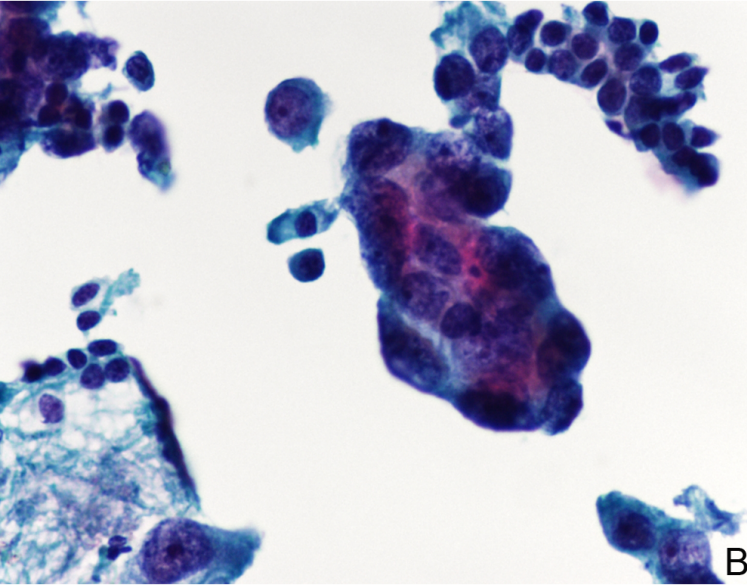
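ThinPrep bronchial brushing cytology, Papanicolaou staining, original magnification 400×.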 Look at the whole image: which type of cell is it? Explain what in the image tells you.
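Lung adenocarcinoma. A central three-dimensional cluster of large cells with enlarged nuclei. The atypical cells are much larger than the small uniform cells in the surrounding groups.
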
